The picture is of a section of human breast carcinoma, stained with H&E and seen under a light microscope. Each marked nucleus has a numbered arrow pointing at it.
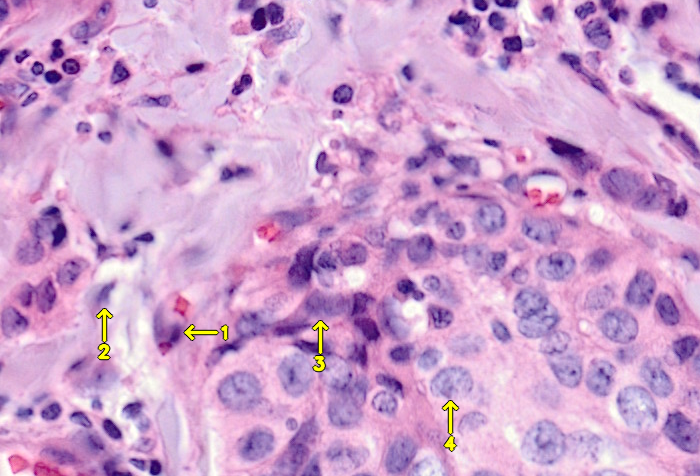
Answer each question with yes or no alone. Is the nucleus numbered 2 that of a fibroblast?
yes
